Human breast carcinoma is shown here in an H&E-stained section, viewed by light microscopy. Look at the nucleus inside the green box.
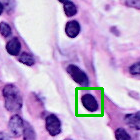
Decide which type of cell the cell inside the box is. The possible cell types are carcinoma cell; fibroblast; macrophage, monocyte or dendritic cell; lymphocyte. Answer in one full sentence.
In the tissue under study, the cell inside the box is a lymphocyte.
